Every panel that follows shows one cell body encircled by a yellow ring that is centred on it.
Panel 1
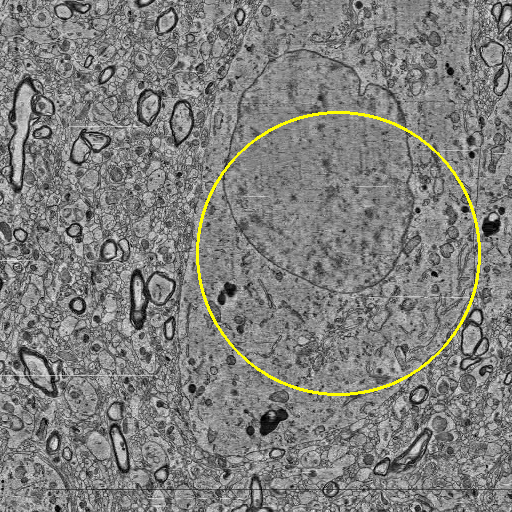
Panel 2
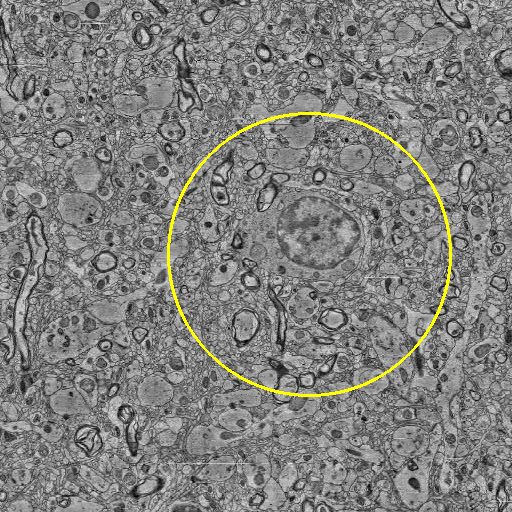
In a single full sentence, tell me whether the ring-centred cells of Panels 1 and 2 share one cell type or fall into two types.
In Panel 1 and Panel 2, the cells at the ring centres fall into two types.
